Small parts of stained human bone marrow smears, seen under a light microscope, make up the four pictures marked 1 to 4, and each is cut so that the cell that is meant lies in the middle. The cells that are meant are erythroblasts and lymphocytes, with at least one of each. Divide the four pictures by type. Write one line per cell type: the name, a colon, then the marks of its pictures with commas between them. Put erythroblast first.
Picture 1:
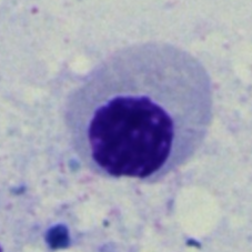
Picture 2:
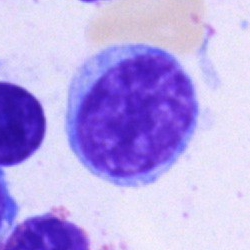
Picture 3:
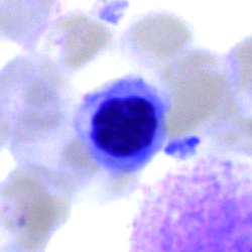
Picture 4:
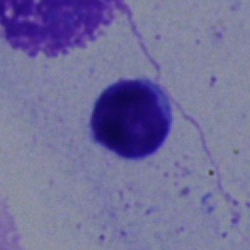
erythroblast: 1, 3
lymphocyte: 2, 4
